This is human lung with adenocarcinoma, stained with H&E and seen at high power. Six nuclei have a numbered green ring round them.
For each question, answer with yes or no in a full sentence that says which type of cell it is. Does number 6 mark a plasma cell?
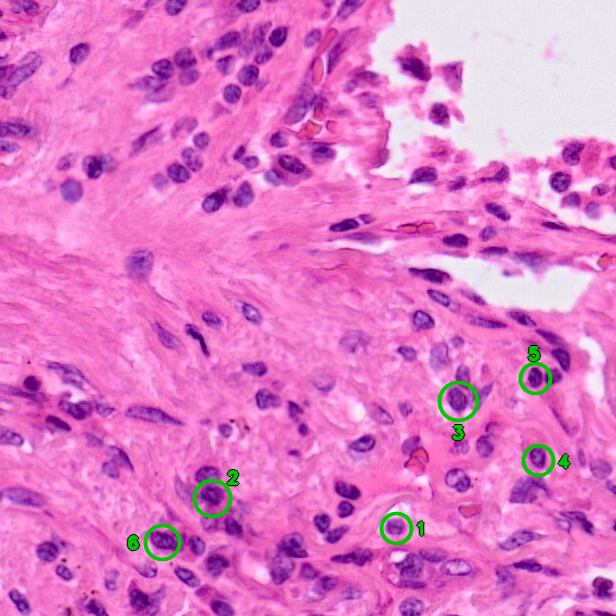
Yes, it is a plasma cell that carries the number 6.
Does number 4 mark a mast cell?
Yes, the one with the number 4 is a mast cell.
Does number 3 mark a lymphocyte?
Yes, the cell that is numbered 3 is a lymphocyte.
